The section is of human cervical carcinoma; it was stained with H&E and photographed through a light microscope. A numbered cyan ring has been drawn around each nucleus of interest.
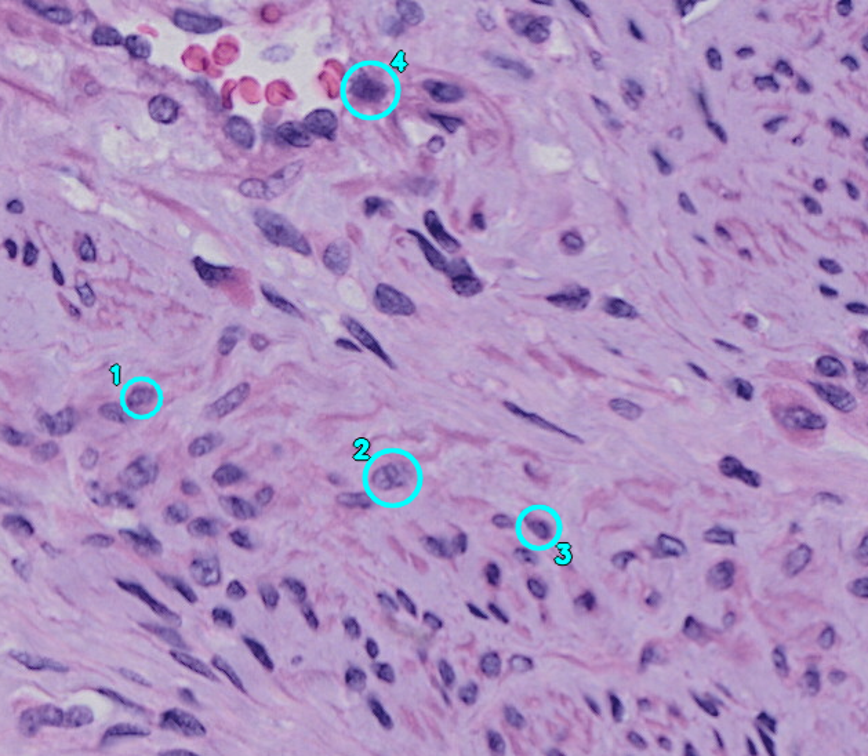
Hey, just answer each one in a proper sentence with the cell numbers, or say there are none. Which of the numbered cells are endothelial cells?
Just one of the numbered cells is an endothelial cell, namely number 4.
